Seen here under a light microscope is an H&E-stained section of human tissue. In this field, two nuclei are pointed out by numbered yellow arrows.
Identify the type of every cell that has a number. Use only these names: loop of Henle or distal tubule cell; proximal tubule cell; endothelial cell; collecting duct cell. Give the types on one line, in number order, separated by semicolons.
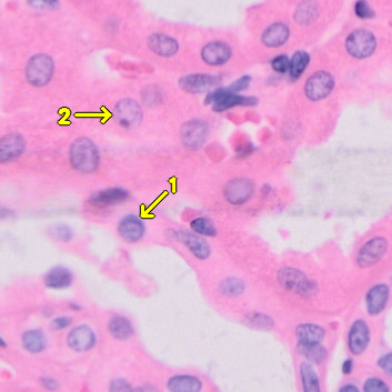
collecting duct cell; proximal tubule cell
